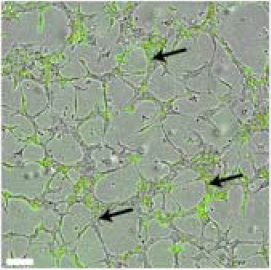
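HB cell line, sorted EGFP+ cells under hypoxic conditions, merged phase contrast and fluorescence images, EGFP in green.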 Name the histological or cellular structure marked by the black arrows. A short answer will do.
complete tubes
